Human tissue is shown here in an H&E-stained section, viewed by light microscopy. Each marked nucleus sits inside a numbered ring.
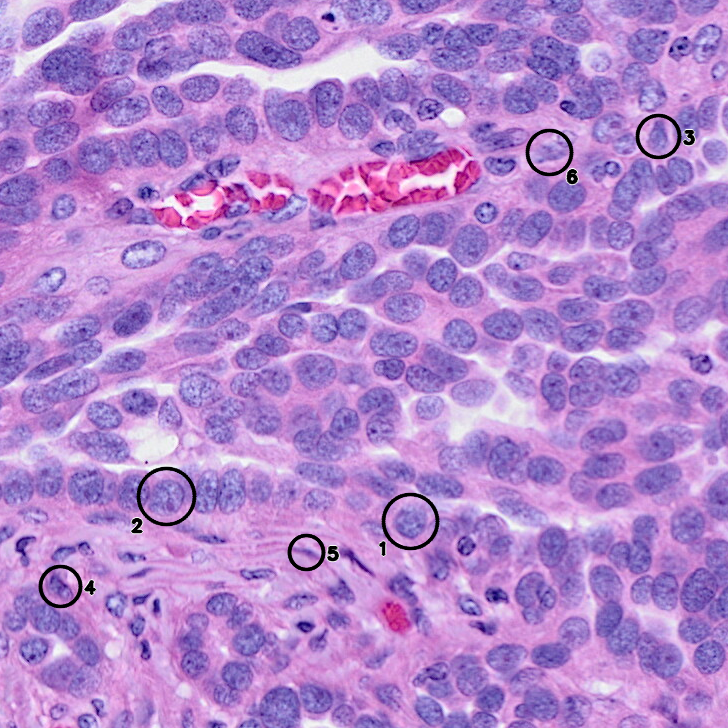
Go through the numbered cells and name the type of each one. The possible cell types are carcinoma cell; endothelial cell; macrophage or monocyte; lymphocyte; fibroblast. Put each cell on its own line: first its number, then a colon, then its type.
1: carcinoma cell
2: carcinoma cell
3: carcinoma cell
4: fibroblast
5: fibroblast
6: fibroblast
